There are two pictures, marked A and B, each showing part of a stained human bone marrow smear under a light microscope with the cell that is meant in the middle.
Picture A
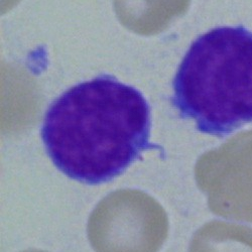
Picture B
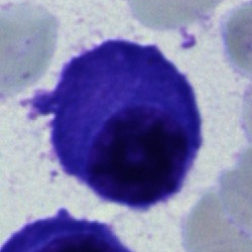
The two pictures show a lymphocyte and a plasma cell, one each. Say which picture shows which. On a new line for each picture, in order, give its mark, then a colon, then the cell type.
A: lymphocyte
B: plasma cell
